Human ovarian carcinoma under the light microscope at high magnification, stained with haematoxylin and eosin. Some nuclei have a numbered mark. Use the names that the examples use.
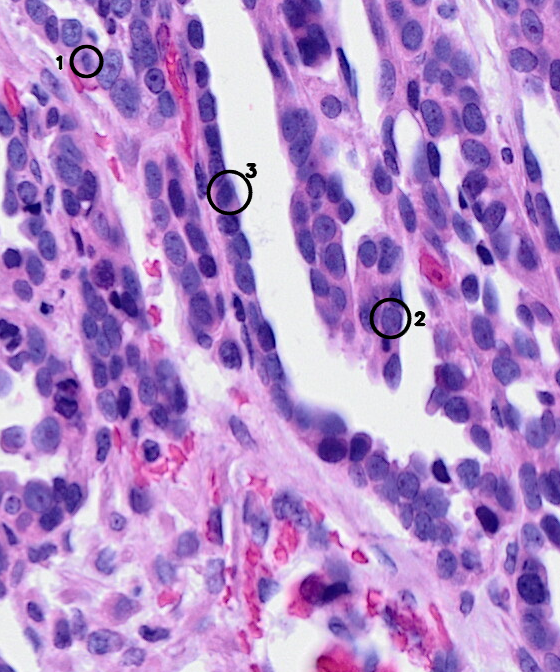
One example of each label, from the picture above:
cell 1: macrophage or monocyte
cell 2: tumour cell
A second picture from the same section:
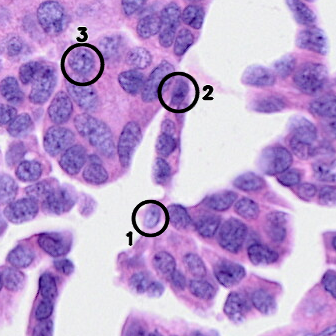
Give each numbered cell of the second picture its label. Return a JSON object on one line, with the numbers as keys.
{"1": "macrophage or monocyte", "2": "tumour cell", "3": "tumour cell"}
